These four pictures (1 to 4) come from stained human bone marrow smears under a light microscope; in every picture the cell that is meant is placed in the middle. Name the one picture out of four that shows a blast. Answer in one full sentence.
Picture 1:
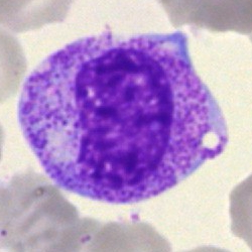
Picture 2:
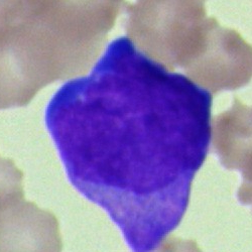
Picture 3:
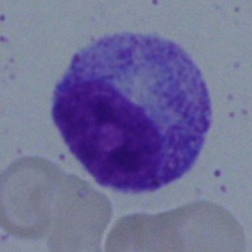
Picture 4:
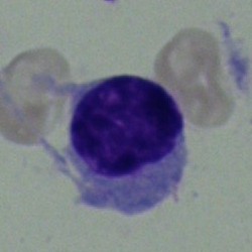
Picture 2 shows the blast.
